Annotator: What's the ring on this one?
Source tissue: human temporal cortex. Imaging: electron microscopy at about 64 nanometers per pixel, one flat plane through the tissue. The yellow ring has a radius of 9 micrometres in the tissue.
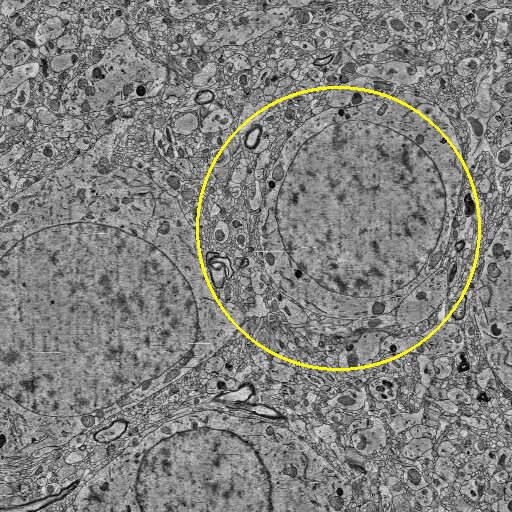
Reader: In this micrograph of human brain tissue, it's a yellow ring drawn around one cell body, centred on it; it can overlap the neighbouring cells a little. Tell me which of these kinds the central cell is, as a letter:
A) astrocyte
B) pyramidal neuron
B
